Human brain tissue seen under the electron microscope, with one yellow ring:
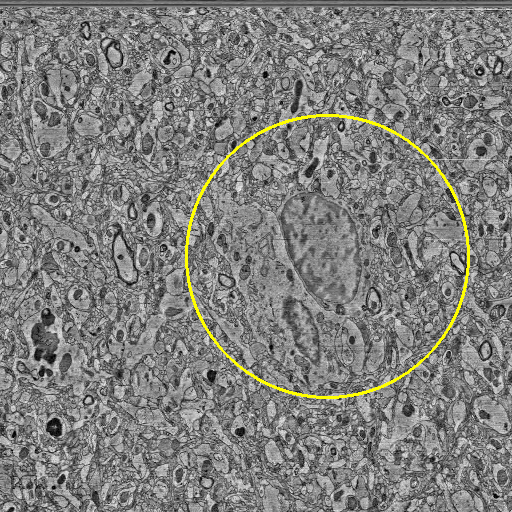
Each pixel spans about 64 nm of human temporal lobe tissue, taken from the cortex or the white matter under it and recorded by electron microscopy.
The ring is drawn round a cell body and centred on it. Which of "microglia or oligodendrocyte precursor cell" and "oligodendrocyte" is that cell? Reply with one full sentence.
The picture shows an oligodendrocyte at the very centre of the yellow ring.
